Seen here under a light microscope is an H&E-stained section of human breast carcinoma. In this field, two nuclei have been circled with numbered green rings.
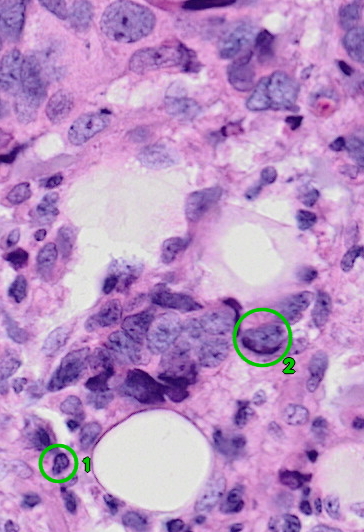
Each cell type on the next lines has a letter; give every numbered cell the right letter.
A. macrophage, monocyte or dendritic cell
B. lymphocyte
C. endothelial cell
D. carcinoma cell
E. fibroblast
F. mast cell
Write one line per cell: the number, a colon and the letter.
1: B
2: D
